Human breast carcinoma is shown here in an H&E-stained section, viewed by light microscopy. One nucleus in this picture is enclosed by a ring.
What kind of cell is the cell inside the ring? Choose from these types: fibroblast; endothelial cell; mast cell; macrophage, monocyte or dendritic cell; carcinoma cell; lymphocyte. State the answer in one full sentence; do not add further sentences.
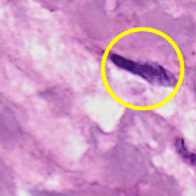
What the cell inside the ring represents is a fibroblast.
